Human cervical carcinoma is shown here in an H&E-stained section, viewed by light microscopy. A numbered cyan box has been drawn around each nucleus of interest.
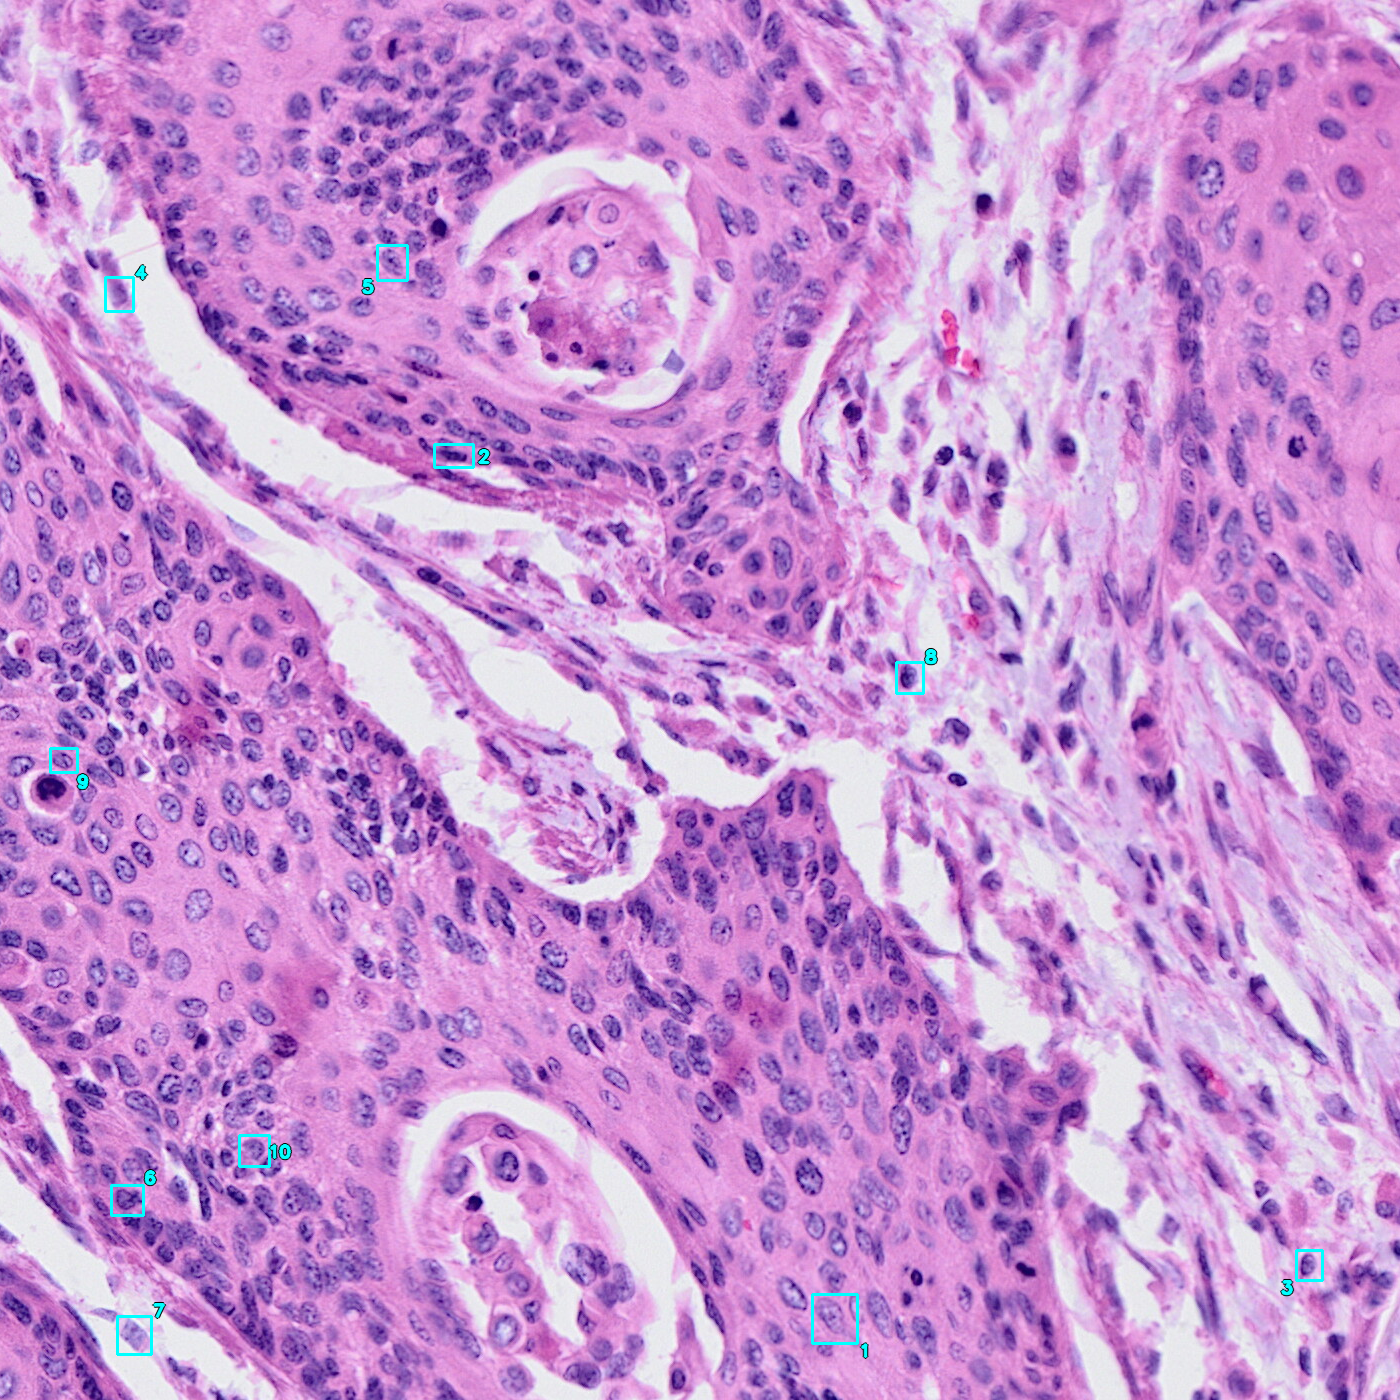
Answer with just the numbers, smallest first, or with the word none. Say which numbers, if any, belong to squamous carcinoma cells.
1, 2, 5, 6, 9, 10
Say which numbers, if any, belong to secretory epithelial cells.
none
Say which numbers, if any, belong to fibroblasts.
4, 7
